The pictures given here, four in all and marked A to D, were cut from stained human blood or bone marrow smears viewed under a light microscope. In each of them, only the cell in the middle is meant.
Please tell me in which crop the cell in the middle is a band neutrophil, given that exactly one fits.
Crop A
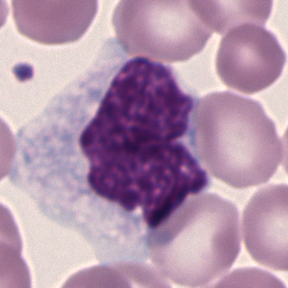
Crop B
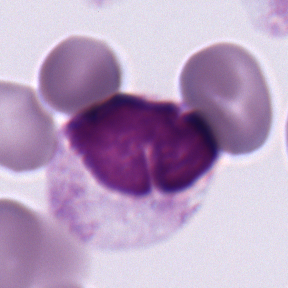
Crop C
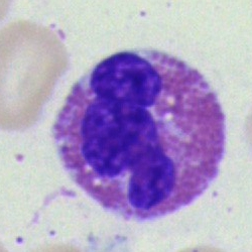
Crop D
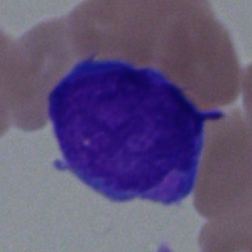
B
